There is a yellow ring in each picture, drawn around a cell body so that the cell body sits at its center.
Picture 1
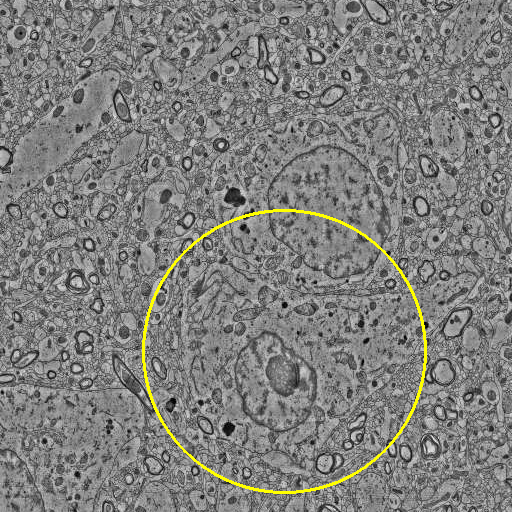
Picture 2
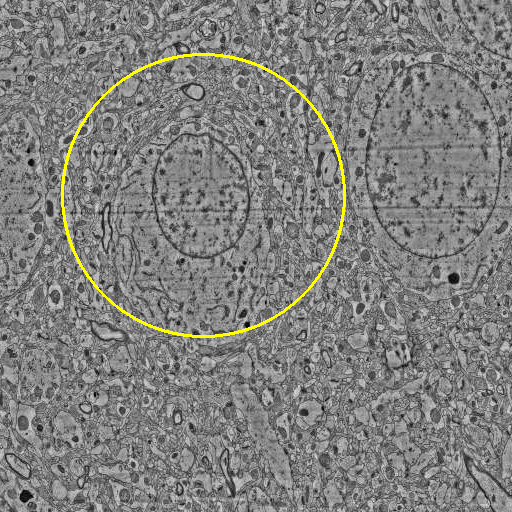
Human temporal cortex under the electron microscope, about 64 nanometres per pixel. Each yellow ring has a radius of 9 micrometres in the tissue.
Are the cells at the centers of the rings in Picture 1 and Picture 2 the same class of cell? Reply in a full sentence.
Yes, the two cells are the same class of cell.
